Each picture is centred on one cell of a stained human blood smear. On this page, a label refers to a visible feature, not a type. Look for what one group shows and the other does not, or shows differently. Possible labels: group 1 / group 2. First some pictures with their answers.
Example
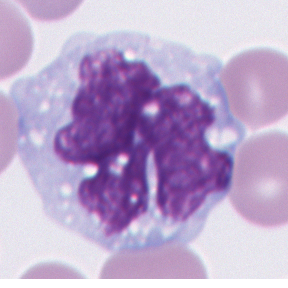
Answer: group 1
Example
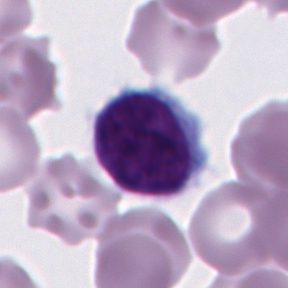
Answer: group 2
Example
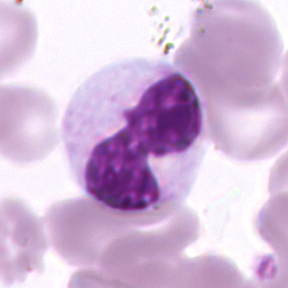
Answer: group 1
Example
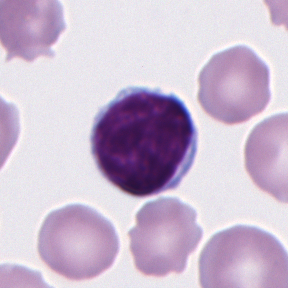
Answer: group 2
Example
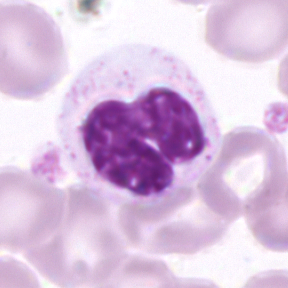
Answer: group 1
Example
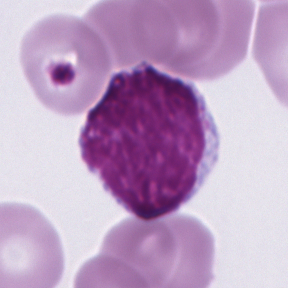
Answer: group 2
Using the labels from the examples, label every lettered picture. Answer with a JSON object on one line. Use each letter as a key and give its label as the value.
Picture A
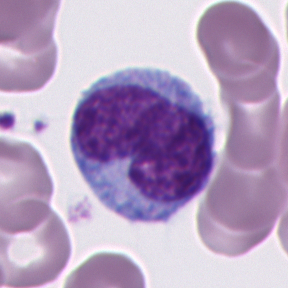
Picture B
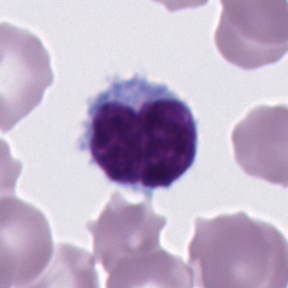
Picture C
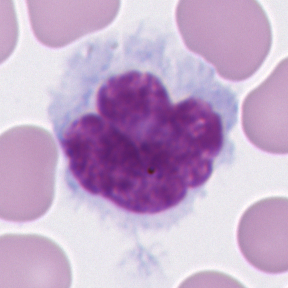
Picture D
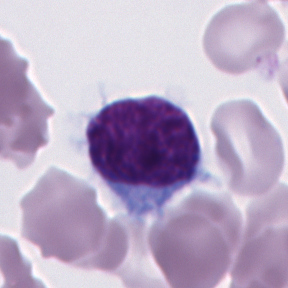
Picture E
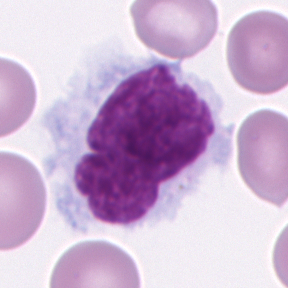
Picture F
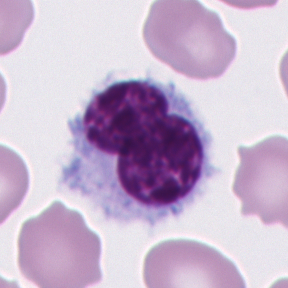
{"A": "group 2", "B": "group 1", "C": "group 1", "D": "group 2", "E": "group 1", "F": "group 1"}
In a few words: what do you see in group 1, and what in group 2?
In group 1: lobed nucleus. In group 2: single compact nucleus.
